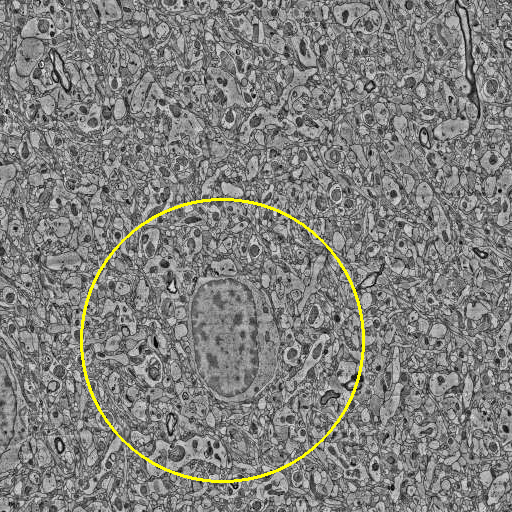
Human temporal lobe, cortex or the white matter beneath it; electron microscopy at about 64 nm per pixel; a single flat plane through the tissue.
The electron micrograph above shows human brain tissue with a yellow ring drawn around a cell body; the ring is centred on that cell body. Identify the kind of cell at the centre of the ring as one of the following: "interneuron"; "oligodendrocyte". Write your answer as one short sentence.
The cell at the centre of the ring is an oligodendrocyte.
